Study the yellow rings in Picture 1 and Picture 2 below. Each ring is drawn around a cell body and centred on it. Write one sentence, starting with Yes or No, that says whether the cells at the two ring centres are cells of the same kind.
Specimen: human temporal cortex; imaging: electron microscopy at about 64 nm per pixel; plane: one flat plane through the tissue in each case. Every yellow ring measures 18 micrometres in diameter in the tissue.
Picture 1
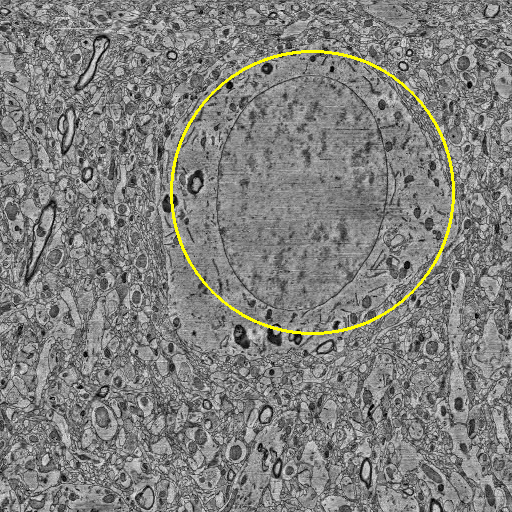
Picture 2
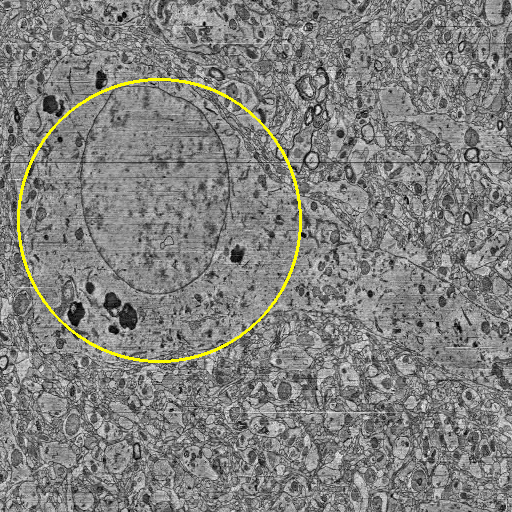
Yes, the cells at both ring centres are of the same kind.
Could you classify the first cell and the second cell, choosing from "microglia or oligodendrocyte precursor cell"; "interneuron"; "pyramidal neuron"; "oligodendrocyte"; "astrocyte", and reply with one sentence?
Each cell, in the first picture and the second, is a pyramidal neuron.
